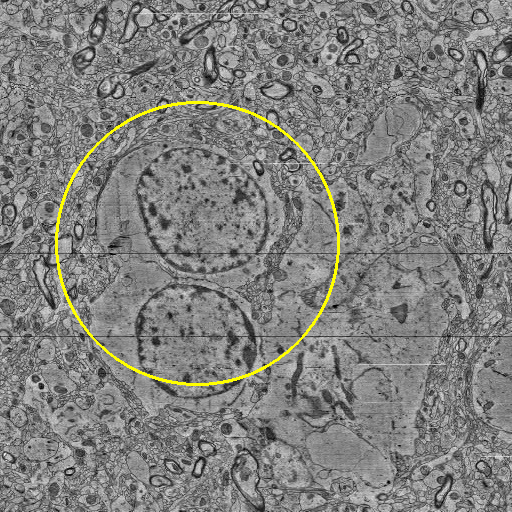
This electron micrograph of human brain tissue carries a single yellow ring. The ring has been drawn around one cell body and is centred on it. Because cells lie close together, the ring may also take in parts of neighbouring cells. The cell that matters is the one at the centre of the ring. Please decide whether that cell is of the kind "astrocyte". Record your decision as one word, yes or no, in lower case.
yes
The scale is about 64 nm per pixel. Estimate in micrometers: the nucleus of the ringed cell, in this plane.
The nucleus works out at approximately 9 by 8 micrometres in this plane.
